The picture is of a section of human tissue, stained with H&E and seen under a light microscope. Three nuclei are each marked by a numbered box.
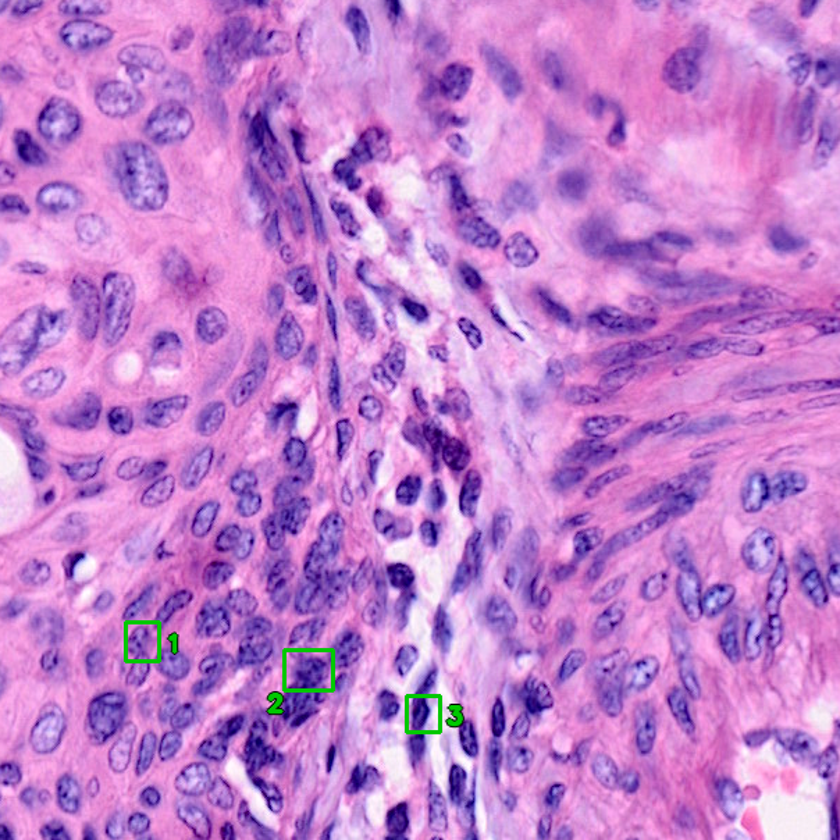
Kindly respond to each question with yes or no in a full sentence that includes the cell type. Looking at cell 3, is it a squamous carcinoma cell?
No, cell 3 is not to be taken for a squamous carcinoma cell; it is a lymphocyte.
